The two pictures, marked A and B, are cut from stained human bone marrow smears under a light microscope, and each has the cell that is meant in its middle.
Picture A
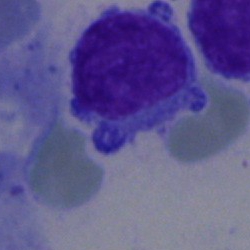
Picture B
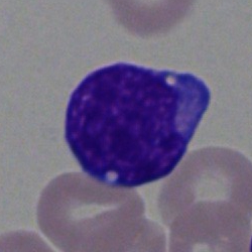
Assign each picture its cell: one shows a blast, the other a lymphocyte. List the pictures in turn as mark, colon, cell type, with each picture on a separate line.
A: lymphocyte
B: blast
